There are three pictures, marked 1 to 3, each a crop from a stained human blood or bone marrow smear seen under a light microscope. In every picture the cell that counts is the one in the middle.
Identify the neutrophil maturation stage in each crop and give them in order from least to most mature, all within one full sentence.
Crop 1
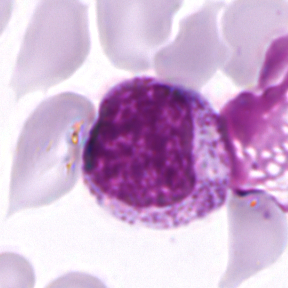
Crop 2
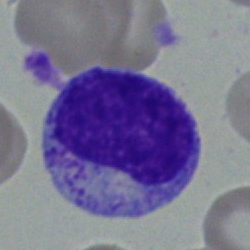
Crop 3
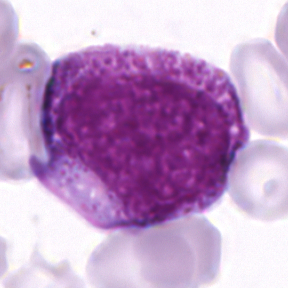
Increasing in maturity, the crops run crop 3 (a promyelocyte), crop 1 (a myelocyte) and crop 2 (a metamyelocyte).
